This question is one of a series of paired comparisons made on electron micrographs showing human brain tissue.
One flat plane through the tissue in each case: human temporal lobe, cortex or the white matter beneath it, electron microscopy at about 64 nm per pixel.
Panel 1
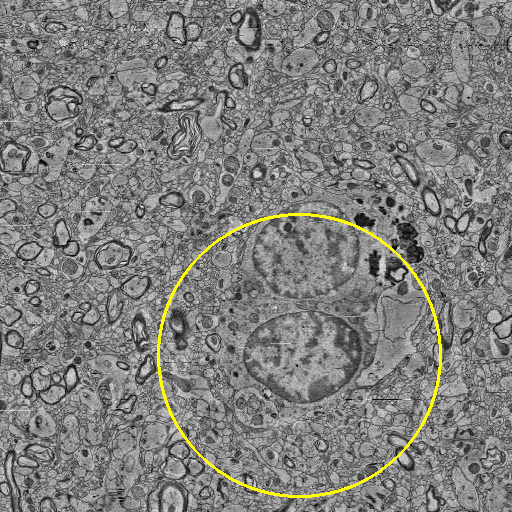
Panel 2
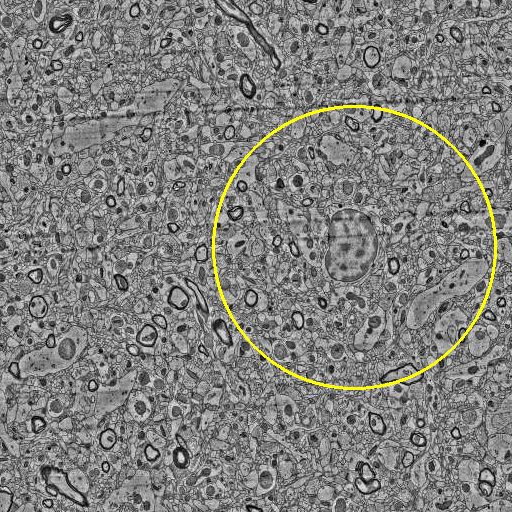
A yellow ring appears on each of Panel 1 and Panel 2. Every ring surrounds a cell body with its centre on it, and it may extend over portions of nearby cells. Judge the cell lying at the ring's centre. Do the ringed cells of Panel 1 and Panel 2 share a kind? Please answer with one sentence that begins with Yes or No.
No, the ring-centre cell in Panel 1 and the one in Panel 2 are of two kinds.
